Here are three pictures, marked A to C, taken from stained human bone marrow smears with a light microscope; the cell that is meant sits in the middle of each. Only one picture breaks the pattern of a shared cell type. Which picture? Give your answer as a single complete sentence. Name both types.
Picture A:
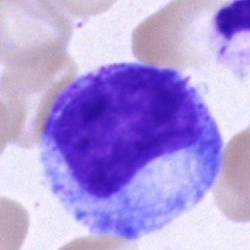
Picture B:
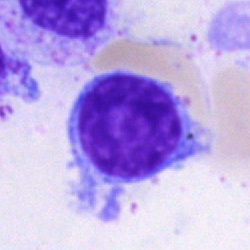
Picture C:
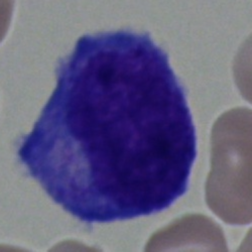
The others show promyelocytes, but picture B shows a lymphocyte.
